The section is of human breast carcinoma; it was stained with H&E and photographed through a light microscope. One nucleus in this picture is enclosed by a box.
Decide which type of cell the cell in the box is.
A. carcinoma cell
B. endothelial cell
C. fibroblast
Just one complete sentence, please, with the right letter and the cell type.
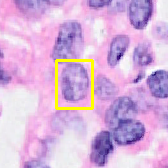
Since the cell in the box is a carcinoma cell, option A is correct.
